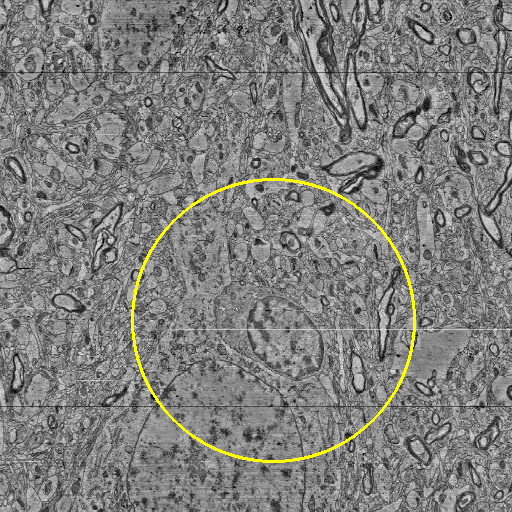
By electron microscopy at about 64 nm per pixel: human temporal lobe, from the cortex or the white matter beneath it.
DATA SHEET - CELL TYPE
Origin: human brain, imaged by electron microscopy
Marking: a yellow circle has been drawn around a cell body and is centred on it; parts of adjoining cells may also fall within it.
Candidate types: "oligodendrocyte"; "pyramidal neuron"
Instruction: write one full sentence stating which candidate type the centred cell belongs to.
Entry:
The cell body at the centre of the yellow ring in this micrograph belongs to an oligodendrocyte.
